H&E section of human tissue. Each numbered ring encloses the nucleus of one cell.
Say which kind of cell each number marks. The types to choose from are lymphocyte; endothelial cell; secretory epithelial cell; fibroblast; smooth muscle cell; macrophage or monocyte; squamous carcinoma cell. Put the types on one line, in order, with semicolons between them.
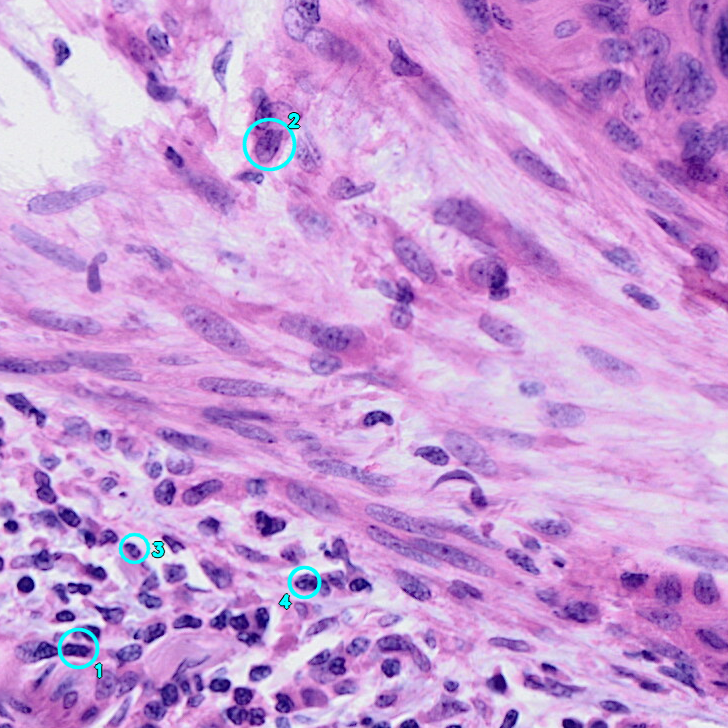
lymphocyte; macrophage or monocyte; lymphocyte; lymphocyte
